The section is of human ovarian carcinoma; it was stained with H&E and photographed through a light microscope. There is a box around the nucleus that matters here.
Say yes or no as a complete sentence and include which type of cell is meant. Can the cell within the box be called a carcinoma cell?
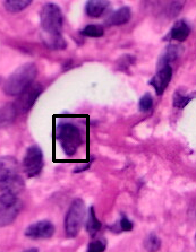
Yes, within this tissue section, the cell within the box is a carcinoma cell.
